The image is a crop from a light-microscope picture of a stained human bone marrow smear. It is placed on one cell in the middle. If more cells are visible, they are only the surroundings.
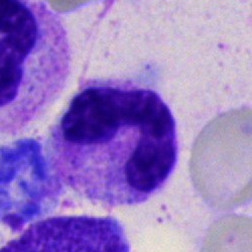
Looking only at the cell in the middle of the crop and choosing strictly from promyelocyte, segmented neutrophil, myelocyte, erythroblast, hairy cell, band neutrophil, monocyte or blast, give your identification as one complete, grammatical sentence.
The cell found in the middle of this crop is a band neutrophil.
